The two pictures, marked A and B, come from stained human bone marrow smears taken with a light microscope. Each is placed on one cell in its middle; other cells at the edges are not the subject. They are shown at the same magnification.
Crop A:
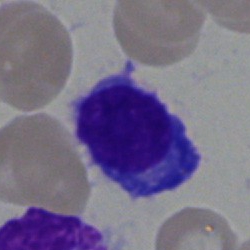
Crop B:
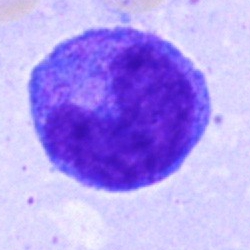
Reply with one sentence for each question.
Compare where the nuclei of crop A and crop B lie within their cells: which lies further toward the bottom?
Seen within its cell, the nucleus in crop B lies further toward the bottom.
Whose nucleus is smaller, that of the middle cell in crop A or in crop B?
Crop A shows the smaller nucleus, since that in crop B covers about 2 times as much area.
